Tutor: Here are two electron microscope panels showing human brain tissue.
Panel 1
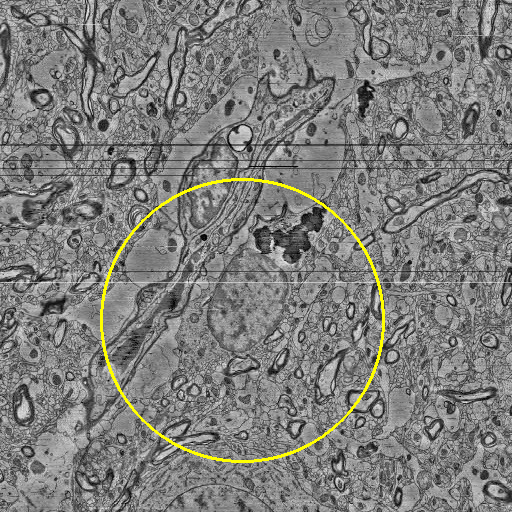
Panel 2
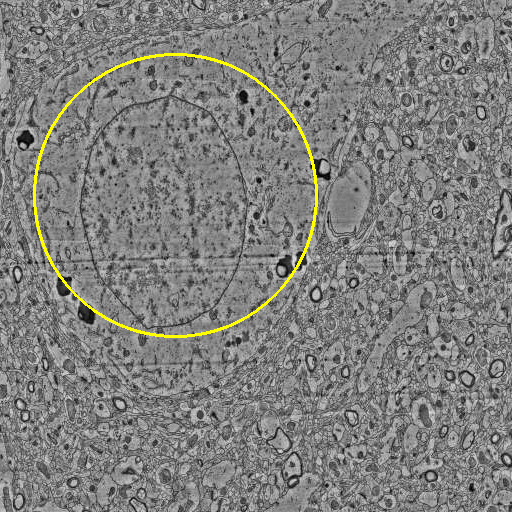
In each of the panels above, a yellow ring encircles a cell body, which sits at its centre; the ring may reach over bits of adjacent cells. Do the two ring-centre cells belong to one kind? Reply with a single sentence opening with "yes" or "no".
No, the two cells sitting at the ring centres in the panels belong to two kinds.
